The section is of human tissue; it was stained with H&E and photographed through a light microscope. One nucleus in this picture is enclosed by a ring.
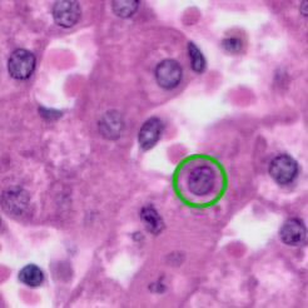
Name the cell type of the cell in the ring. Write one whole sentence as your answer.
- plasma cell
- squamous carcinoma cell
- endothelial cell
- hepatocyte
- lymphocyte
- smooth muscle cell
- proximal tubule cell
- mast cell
So far as cell type goes, the cell in the ring is a hepatocyte.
